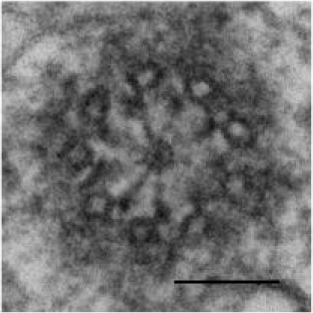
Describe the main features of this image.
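This electron micrograph shows a centriole cut in cross-section. Small hollow circular tubule profiles are arranged in a ring around a paler central area. The ring is embedded in grey, granular dense material that fades into a lighter surrounding cytoplasm.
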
